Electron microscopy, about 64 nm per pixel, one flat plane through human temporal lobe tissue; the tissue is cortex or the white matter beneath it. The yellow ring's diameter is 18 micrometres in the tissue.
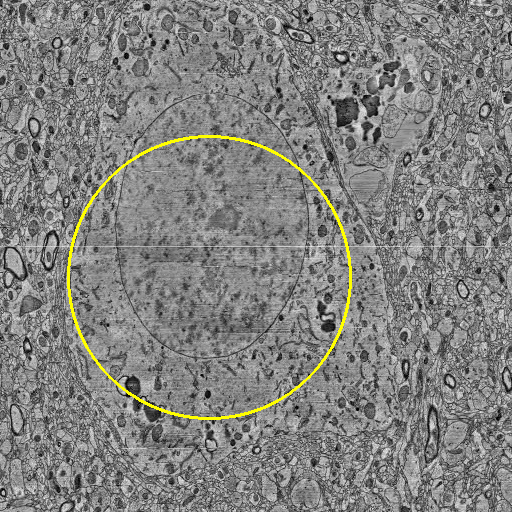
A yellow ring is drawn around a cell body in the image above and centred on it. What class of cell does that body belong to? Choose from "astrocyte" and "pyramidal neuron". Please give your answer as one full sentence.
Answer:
The yellow ring above is centred on the cell body of a pyramidal neuron.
